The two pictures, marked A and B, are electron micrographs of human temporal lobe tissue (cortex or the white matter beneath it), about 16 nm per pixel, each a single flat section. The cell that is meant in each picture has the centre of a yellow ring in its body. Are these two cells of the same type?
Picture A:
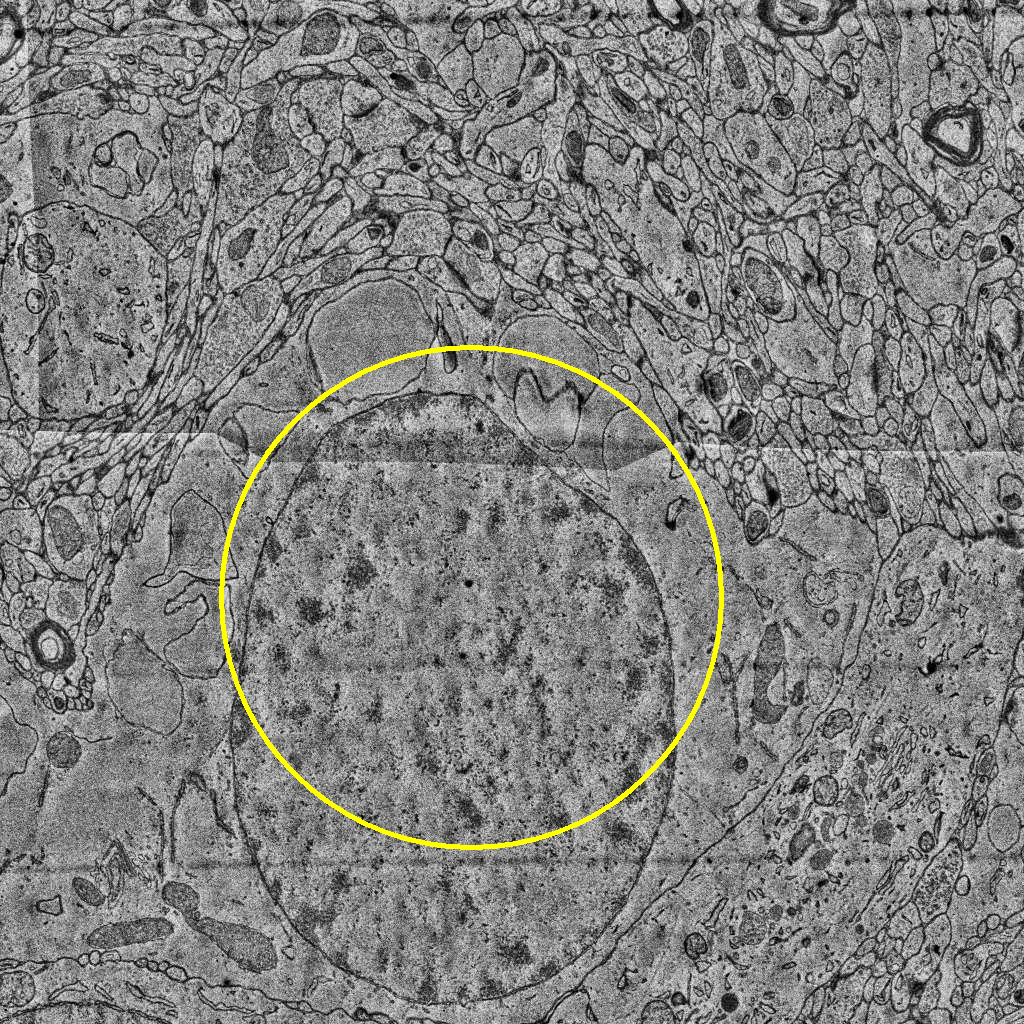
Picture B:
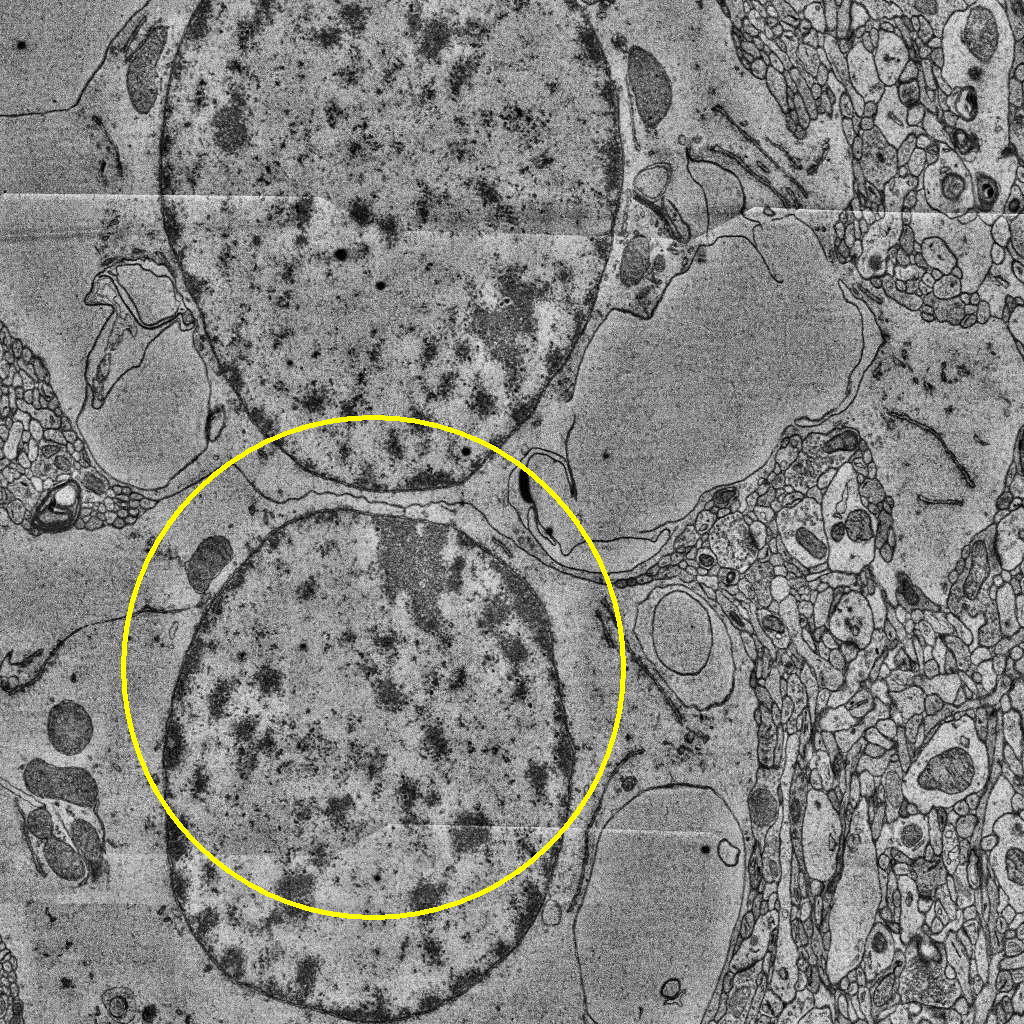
Yes, both are astrocytes.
